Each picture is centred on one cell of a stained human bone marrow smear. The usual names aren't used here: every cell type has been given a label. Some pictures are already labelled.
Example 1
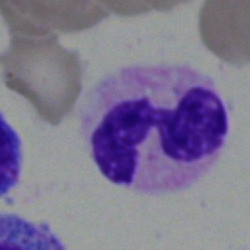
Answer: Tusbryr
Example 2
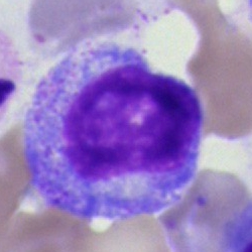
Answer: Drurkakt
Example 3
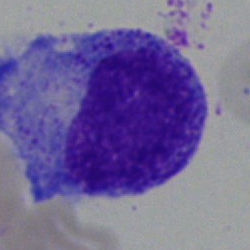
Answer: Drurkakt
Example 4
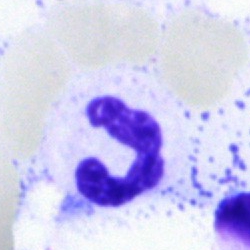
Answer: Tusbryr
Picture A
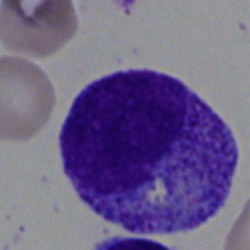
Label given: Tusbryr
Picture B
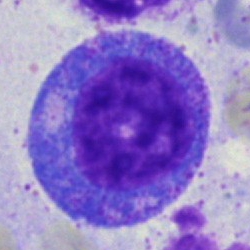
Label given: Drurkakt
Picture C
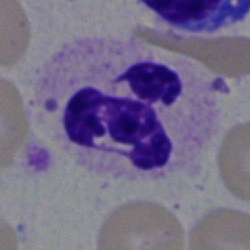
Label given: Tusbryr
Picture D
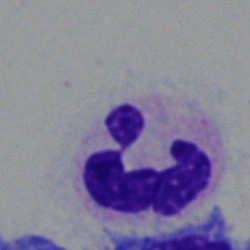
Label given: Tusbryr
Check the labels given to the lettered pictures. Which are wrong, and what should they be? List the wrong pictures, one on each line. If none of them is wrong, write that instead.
A: Drurkakt, not Tusbryr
